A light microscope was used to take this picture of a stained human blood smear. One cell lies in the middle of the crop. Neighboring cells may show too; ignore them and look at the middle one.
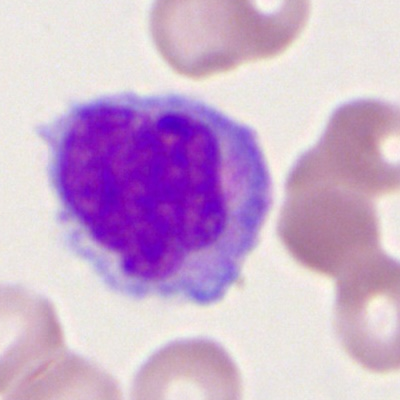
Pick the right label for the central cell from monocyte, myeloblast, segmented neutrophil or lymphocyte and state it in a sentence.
For this crop, the cell in the middle is a monocyte.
